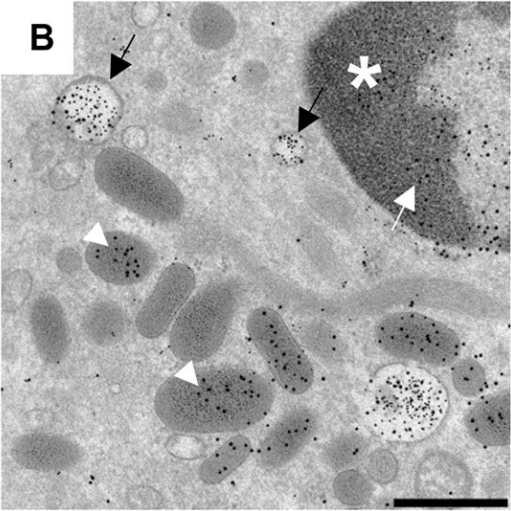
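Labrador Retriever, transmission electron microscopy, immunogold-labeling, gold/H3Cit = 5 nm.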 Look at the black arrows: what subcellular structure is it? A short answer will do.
vesicles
